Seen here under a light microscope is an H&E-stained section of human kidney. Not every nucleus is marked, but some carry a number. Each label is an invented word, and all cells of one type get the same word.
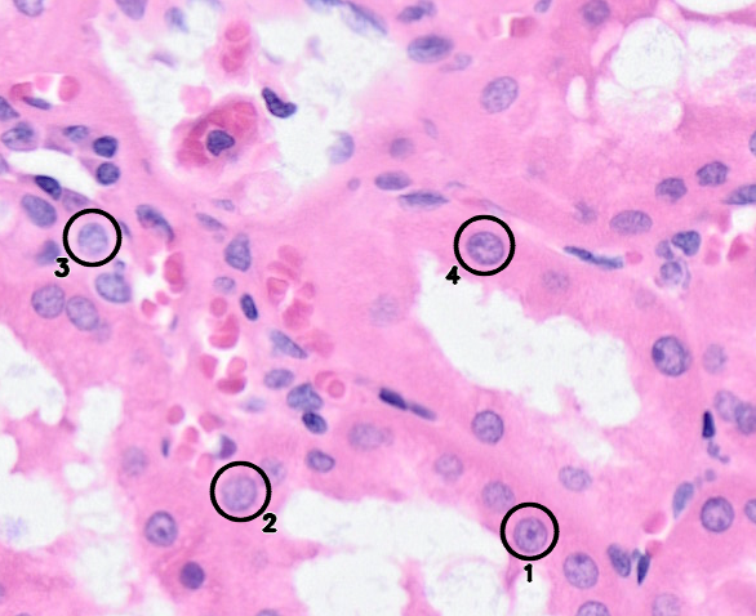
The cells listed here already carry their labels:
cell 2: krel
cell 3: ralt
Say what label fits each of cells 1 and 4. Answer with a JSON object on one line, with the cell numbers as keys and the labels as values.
{"1": "krel", "4": "krel"}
